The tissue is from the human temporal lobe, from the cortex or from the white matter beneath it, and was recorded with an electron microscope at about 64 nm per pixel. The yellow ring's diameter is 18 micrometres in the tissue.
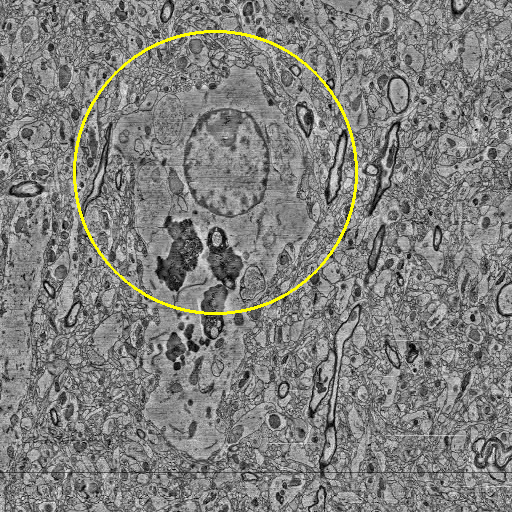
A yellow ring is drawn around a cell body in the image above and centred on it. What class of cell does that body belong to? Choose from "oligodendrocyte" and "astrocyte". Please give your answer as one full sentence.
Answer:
The yellow ring above is centred on the cell body of an astrocyte.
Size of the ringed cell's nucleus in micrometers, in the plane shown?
About 7 micrometres by about 5 micrometres in this plane.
